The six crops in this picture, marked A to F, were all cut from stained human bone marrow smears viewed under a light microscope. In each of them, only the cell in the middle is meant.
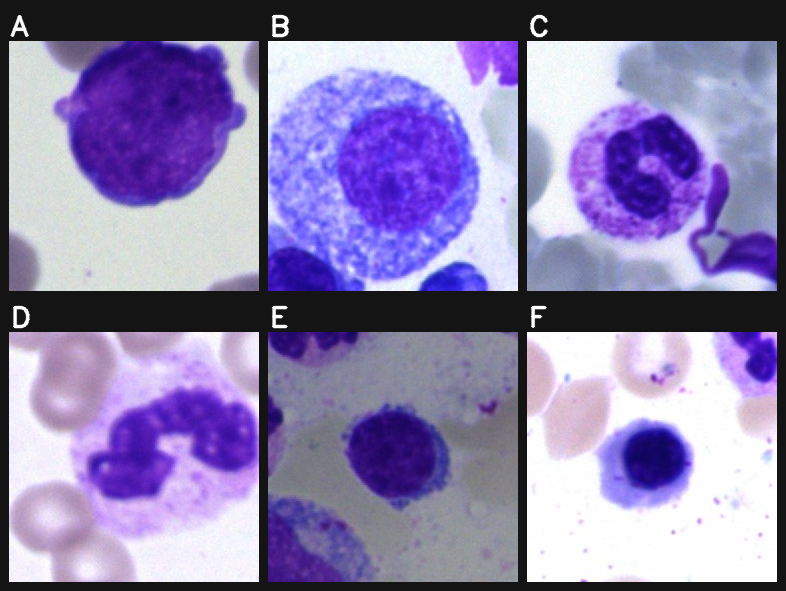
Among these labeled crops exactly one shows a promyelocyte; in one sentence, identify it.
Crop B, of the crops presented, is the one showing a promyelocyte.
